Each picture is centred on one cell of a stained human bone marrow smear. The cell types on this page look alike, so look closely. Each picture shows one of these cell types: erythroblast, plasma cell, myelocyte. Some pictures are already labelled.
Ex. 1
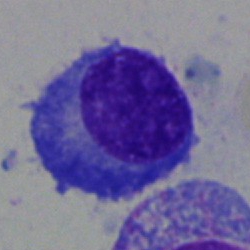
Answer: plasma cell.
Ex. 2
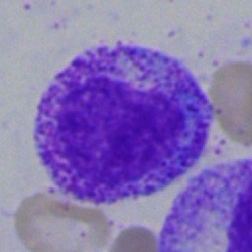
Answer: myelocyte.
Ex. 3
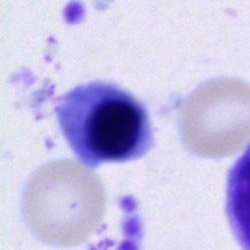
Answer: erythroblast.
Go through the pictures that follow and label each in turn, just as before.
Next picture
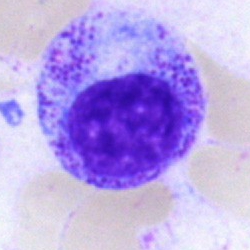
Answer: myelocyte.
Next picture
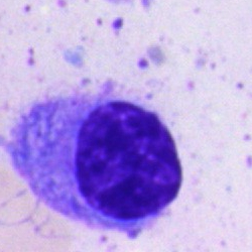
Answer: plasma cell.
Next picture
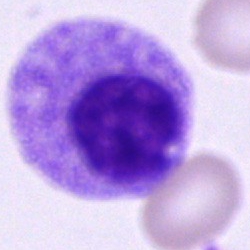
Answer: myelocyte.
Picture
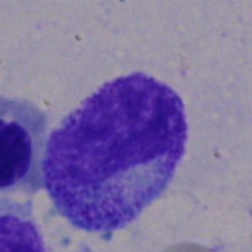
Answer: myelocyte.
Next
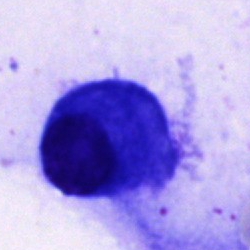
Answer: plasma cell.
